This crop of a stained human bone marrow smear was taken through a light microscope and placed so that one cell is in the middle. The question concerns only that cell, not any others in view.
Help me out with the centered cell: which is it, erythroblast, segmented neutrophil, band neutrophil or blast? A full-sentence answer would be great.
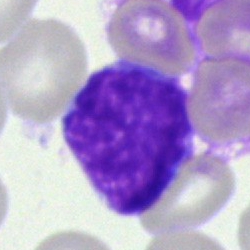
Located at the centre of the crop is a blast.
